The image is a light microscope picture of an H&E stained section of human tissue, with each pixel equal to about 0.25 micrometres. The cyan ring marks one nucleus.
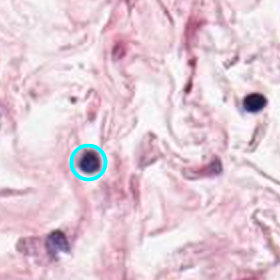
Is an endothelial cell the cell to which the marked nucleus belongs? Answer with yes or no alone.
no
